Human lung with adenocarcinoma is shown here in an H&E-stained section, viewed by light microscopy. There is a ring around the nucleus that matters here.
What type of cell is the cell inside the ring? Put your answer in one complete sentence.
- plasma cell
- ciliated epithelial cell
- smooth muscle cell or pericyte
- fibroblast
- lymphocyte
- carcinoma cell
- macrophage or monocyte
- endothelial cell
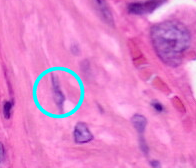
Typologically, the cell inside the ring is a fibroblast in this section.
